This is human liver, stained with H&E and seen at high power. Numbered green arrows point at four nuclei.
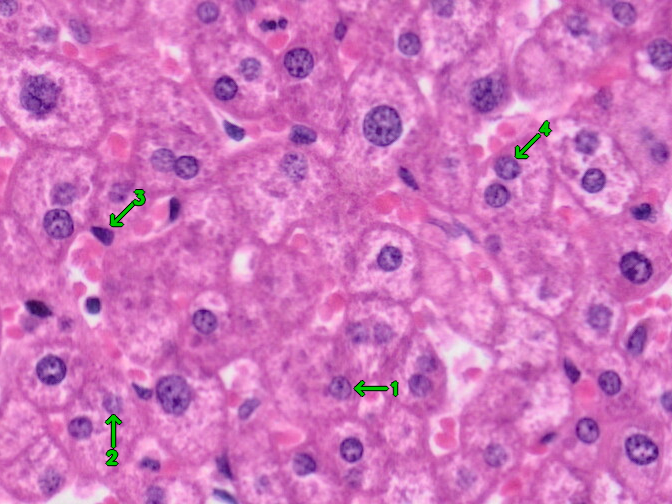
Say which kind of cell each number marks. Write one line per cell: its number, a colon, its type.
1: hepatocyte
2: hepatocyte
3: fibroblast or stellate cell
4: hepatocyte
